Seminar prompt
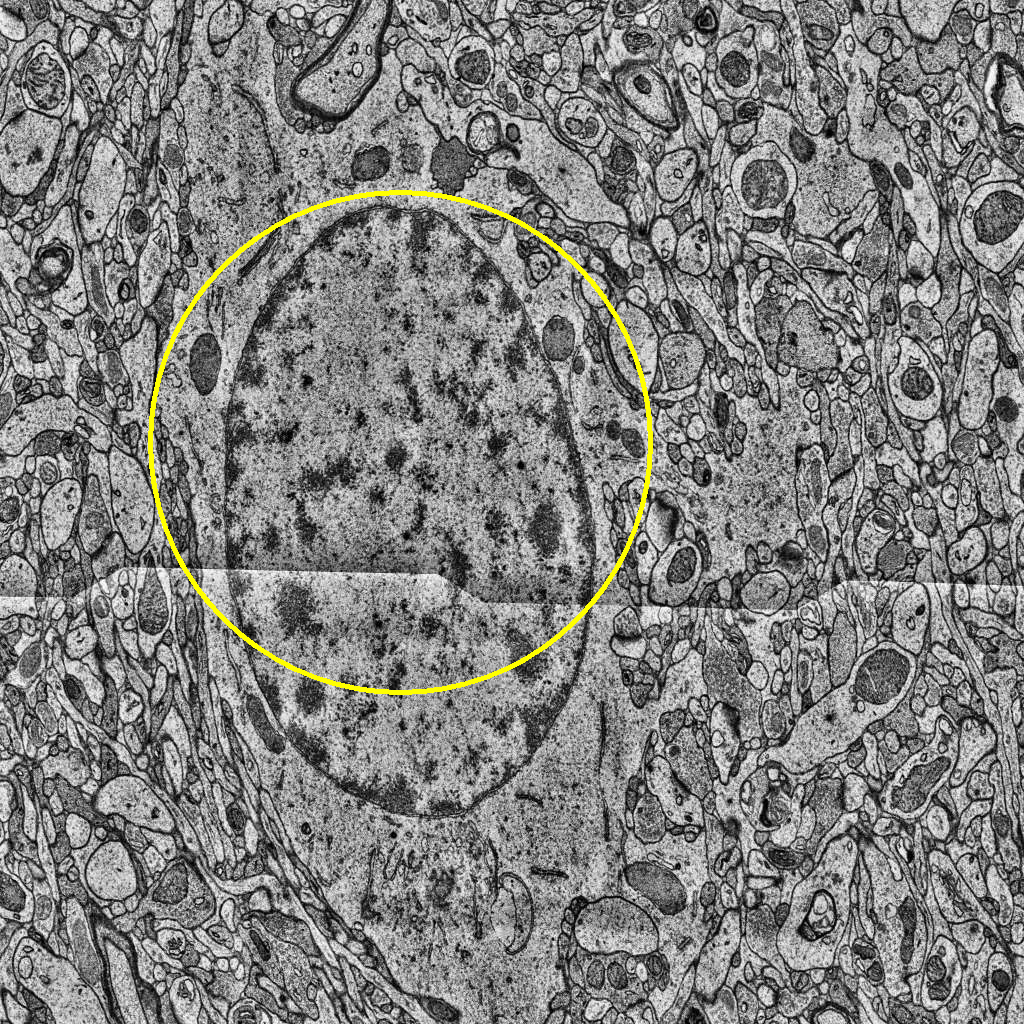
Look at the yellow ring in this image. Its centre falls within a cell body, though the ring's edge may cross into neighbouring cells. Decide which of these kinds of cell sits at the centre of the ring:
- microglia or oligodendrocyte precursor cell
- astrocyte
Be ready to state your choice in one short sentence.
The kind of cell at the ring's centre is an astrocyte.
